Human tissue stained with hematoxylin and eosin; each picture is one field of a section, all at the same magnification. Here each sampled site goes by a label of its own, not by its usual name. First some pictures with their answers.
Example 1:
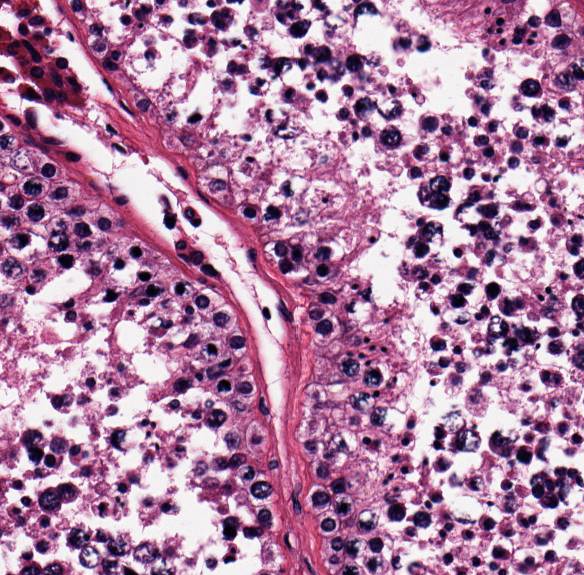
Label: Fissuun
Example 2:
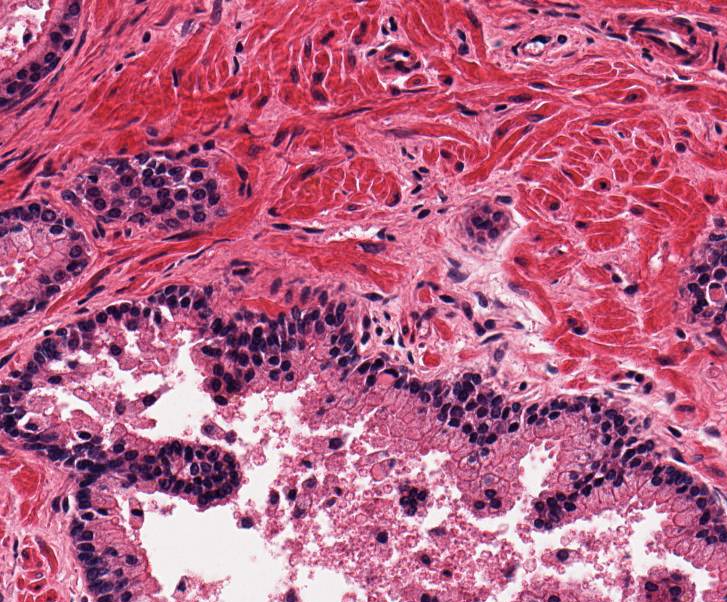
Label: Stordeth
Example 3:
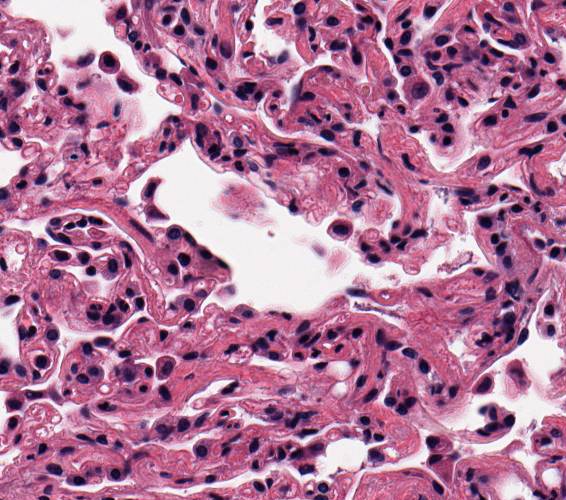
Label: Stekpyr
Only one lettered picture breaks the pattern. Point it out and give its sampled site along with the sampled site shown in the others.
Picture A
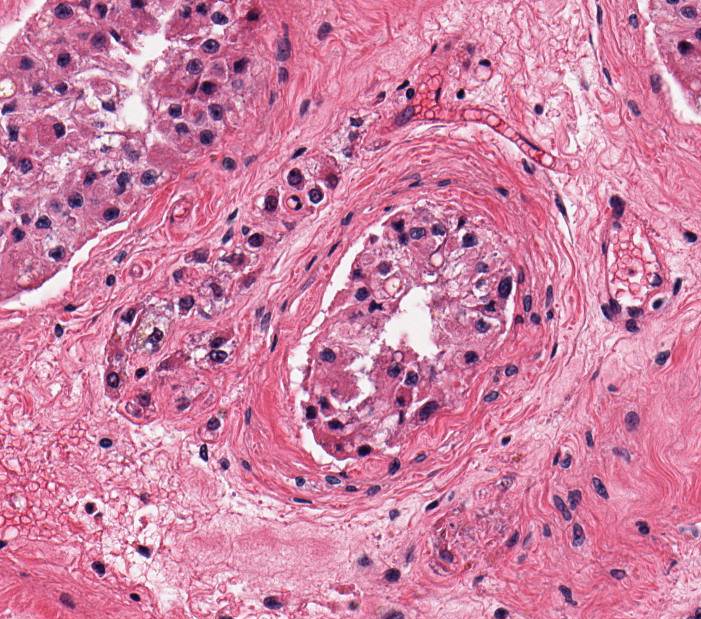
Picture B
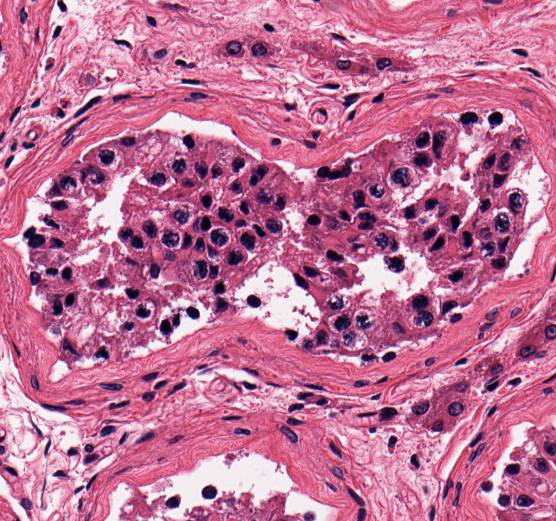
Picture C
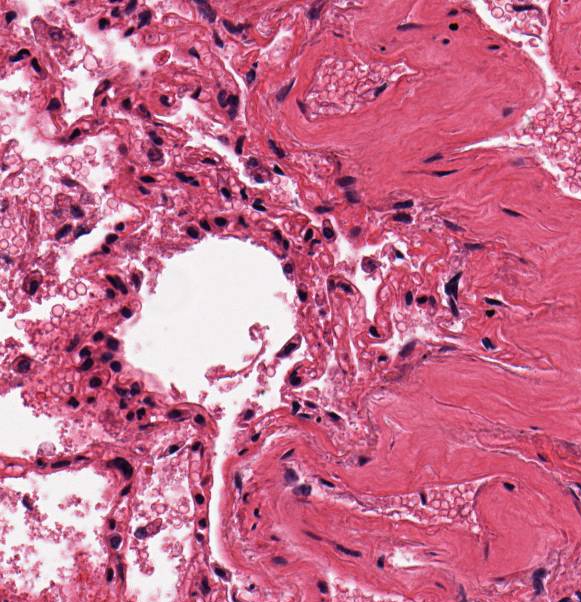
C: Stekpyr; all the others: Fissuun.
